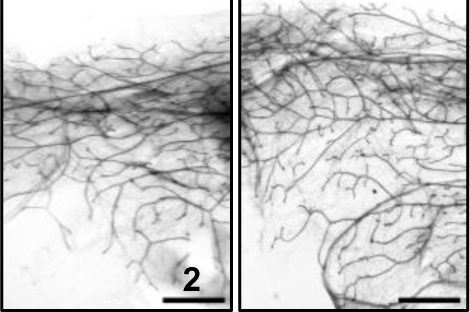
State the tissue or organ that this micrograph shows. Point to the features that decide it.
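Mammary glands. Dark branching tree of ducts across a pale background. Branches end in fine tips spreading through the field.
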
